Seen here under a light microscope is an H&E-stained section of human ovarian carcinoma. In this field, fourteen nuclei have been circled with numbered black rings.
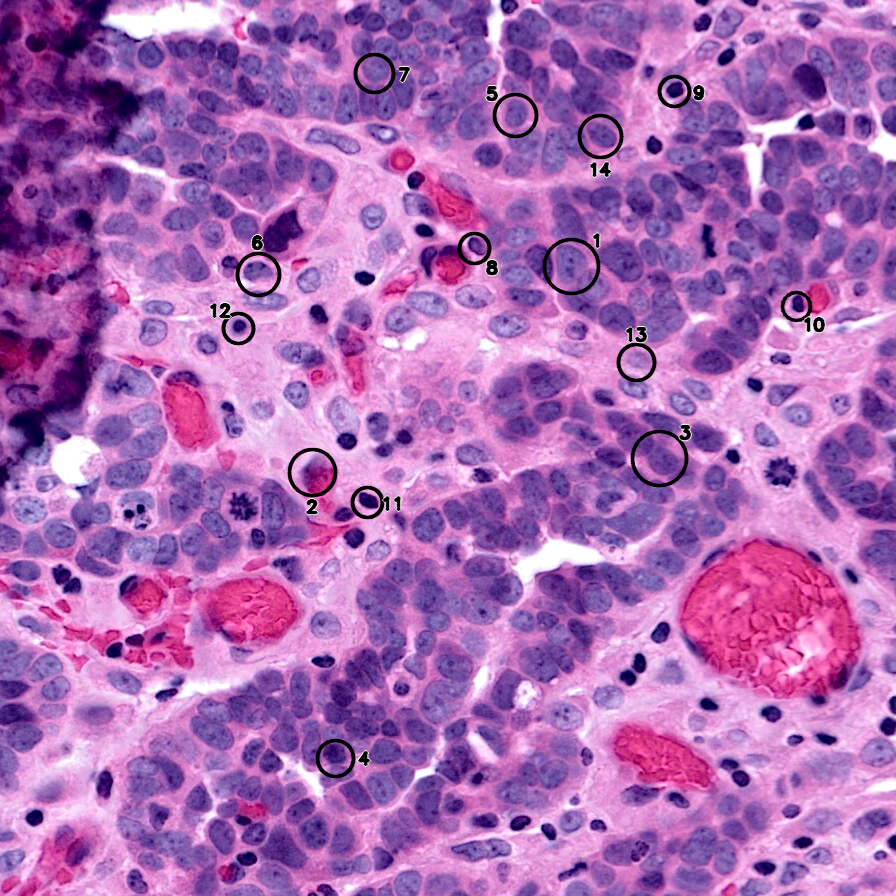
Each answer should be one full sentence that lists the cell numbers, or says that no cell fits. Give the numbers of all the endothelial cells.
Among the labelled cells, only the cell labelled 2 is an endothelial cell.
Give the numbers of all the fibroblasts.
Response: cell 13 is a fibroblast, and no other numbered cell is.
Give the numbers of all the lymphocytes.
The cells marked by the numbers 8, 9, 10, 11 and 12 are lymphocytes.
